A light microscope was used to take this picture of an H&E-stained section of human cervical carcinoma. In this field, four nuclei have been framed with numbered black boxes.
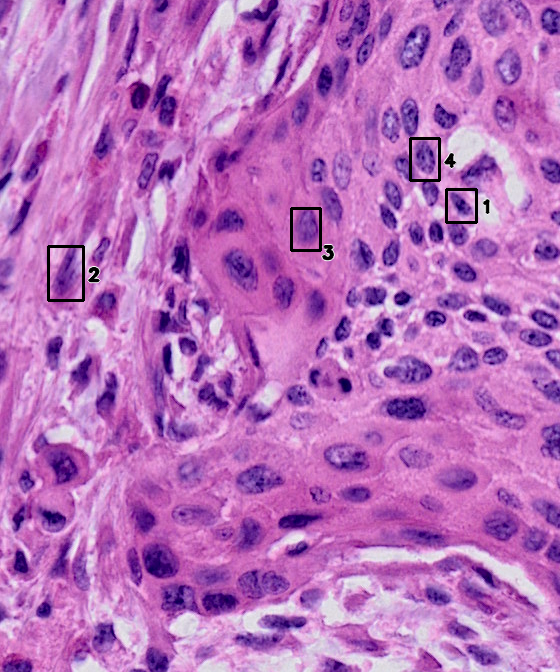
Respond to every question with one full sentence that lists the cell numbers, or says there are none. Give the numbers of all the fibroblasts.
The nucleus labelled 2 alone belongs to a fibroblast; the other marked nuclei do not.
